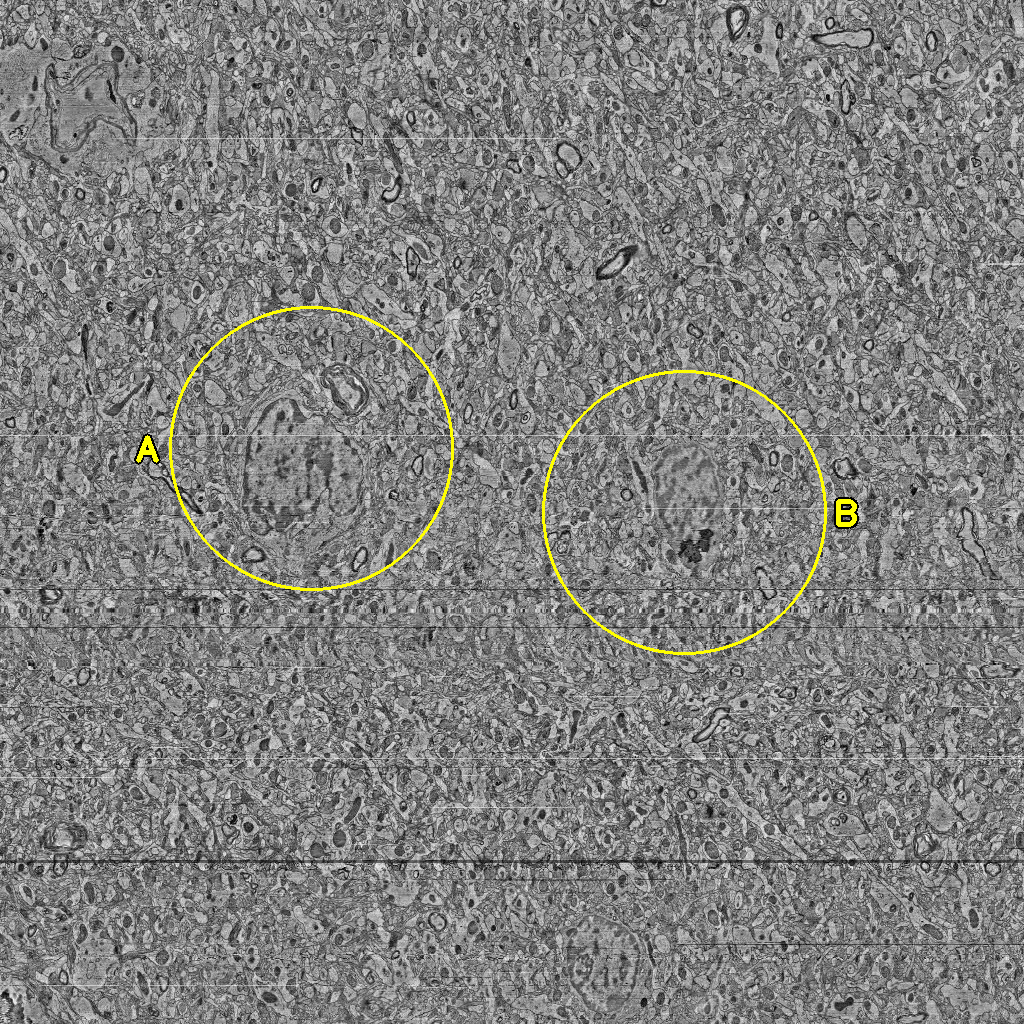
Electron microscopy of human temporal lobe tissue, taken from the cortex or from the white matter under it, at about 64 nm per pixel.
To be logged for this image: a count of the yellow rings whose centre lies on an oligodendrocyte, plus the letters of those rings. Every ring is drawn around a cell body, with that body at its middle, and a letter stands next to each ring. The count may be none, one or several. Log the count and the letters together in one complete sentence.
Beside the single ring centred on an oligodendrocyte stands the letter B.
